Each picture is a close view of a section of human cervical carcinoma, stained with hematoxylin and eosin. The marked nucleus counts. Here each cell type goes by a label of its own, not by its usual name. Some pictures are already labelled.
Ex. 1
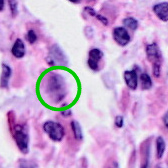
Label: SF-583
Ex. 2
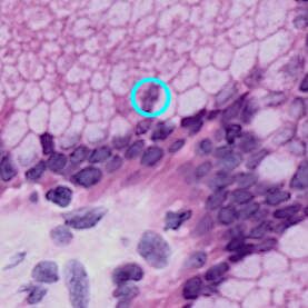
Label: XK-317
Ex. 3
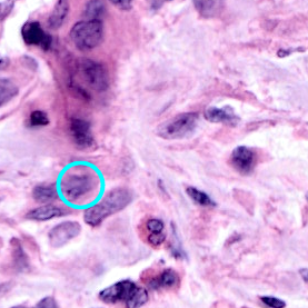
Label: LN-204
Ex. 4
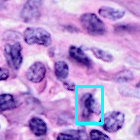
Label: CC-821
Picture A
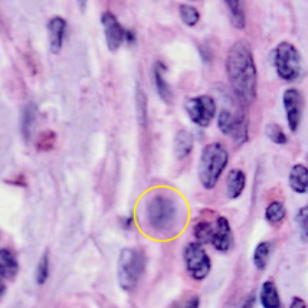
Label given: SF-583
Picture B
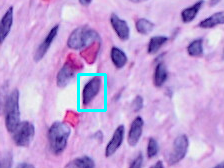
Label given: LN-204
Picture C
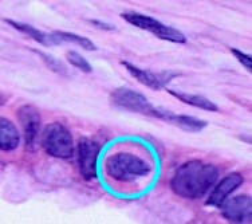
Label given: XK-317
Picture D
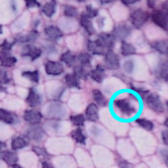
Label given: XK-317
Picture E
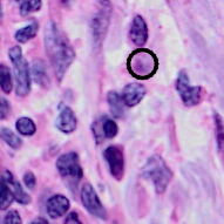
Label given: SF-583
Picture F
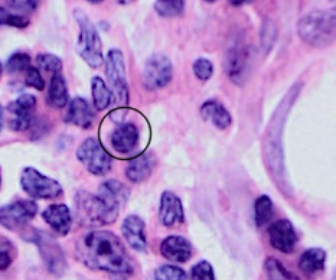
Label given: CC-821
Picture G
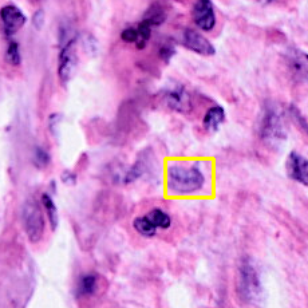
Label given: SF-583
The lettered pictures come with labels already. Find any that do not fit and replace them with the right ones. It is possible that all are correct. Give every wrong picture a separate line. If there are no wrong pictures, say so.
All labels are correct.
